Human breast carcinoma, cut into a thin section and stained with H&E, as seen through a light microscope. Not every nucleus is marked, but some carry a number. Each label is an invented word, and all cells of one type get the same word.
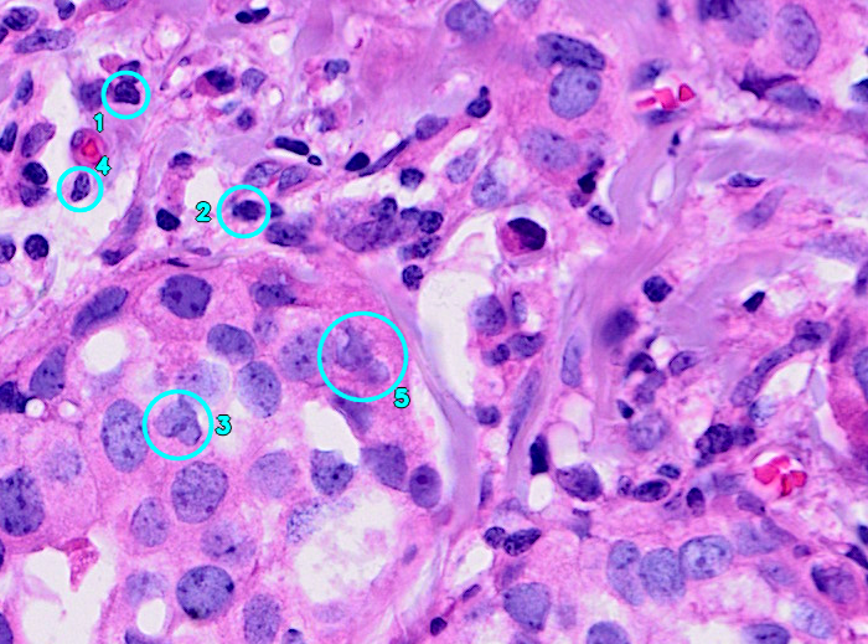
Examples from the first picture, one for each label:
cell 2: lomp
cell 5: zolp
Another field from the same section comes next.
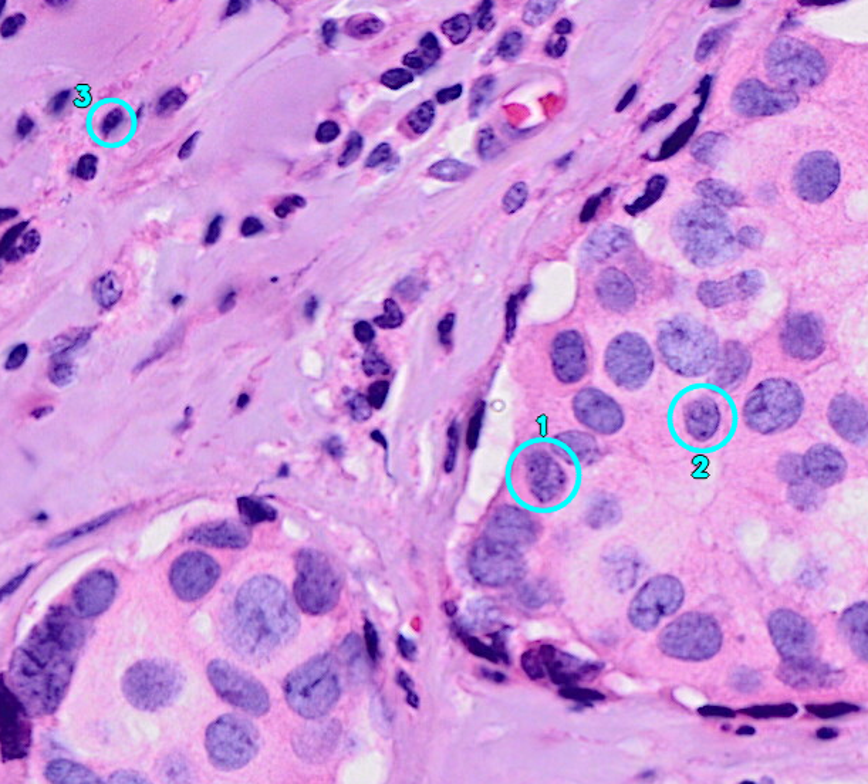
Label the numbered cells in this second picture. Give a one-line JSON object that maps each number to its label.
{"1": "zolp", "2": "zolp", "3": "lomp"}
